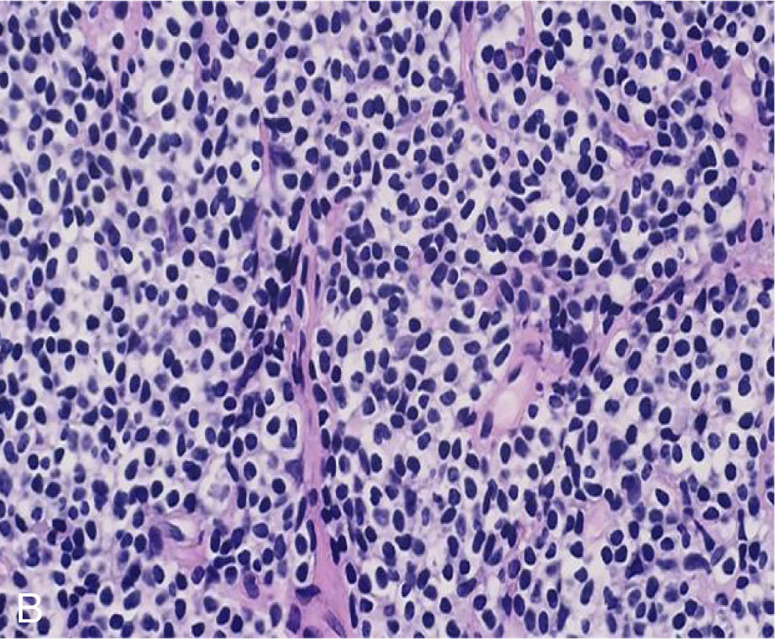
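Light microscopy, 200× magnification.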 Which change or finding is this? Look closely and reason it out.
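Densely packed cells fill the whole field in continuous sheets. No normal follicular or layered architecture is visible. Only thin pink fibrous strands and small vessels separate the cells.
Diffuse proliferation of tumor cells.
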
